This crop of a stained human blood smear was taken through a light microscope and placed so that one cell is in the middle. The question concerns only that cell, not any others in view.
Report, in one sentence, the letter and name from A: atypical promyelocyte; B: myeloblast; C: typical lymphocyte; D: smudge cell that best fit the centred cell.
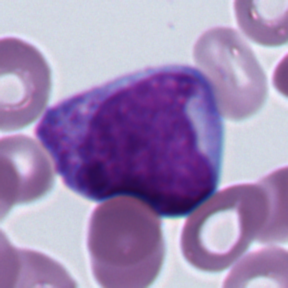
In the centre of the crop there is an atypical promyelocyte, making option A correct.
